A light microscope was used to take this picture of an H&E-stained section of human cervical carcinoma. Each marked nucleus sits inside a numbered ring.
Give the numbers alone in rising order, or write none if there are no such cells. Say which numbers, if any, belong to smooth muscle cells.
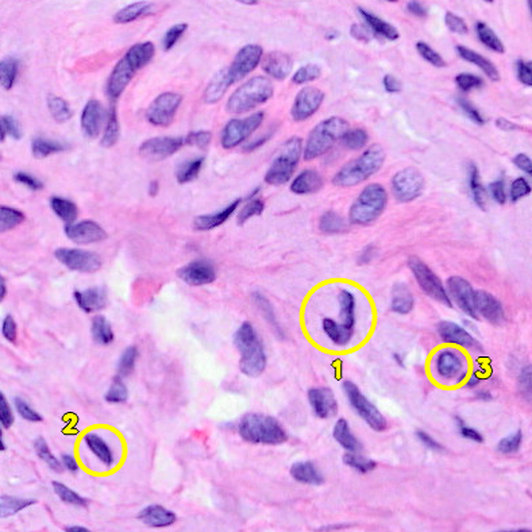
3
